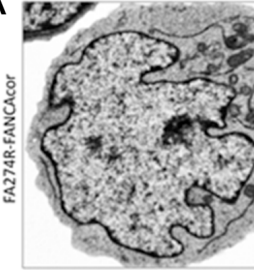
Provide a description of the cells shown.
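A single cell fills the view, most of it taken up by a large nucleus with an irregular, folded outline and dark heterochromatin gathered along the nuclear envelope. The rim of cytoplasm is narrow on most sides.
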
